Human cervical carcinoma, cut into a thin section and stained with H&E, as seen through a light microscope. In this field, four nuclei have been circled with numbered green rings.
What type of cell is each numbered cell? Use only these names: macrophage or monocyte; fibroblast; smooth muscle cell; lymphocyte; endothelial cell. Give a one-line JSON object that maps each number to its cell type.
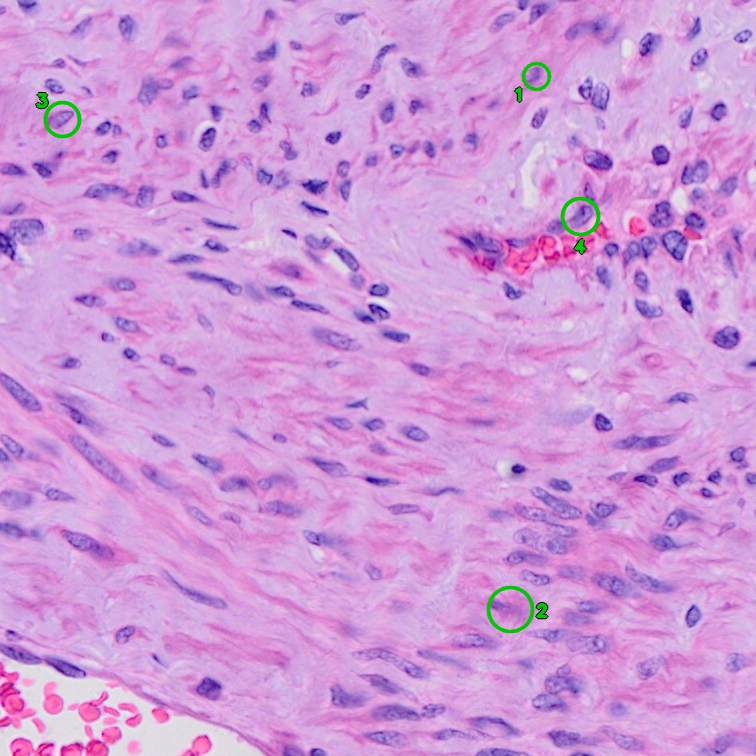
{"1": "smooth muscle cell", "2": "smooth muscle cell", "3": "smooth muscle cell", "4": "endothelial cell"}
